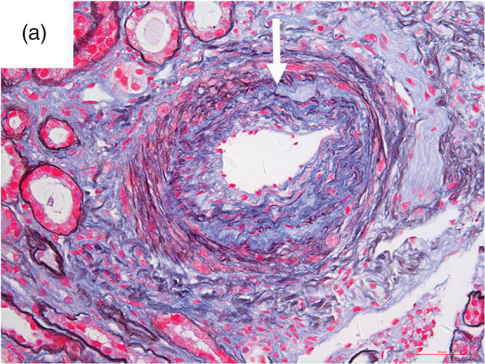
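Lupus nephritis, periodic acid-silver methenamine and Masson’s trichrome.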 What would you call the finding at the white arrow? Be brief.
Fibrous proliferation of the intima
